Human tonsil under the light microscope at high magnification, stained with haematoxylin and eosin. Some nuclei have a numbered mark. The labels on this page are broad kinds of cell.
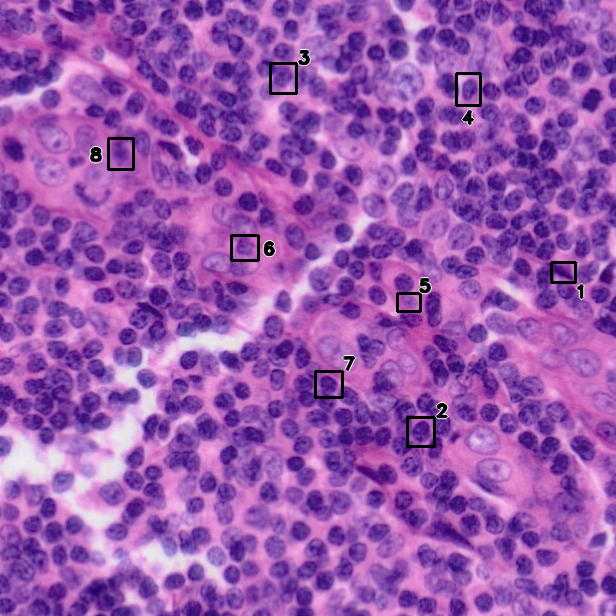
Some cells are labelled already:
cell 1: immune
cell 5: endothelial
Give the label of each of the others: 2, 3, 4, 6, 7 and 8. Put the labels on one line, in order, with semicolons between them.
immune; immune; immune; endothelial; immune; endothelial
